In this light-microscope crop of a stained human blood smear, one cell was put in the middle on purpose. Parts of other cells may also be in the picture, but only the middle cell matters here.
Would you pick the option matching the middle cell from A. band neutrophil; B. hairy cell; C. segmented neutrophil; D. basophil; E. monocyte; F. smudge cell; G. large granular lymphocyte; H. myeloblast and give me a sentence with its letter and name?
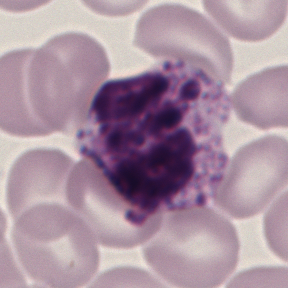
What sits in the middle of the crop is a basophil, and option D is correct.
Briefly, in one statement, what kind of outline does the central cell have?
No smooth contour is present; the border is ragged or extended into projections.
